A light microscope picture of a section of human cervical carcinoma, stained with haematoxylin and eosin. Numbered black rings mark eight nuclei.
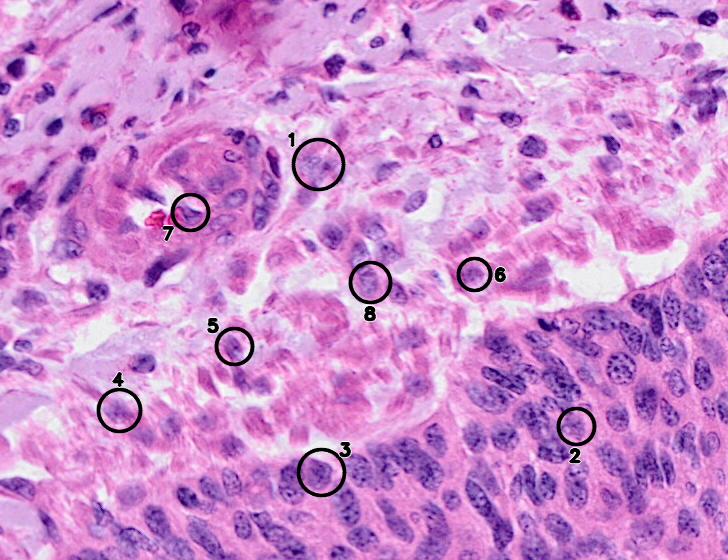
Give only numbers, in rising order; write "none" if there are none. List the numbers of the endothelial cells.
7, 8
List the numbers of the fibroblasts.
1, 4, 5, 6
